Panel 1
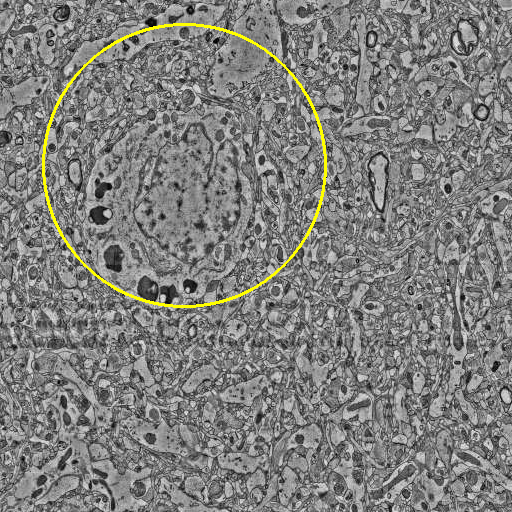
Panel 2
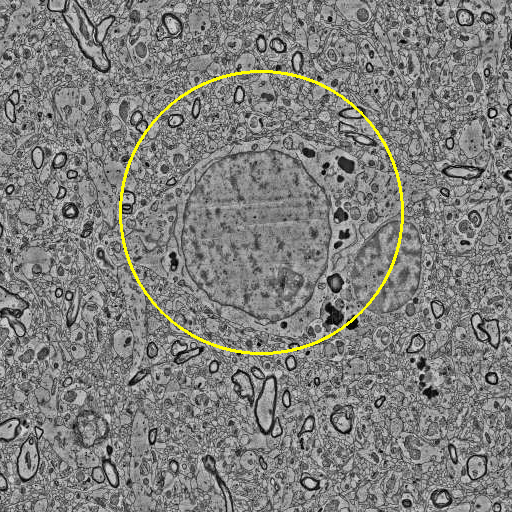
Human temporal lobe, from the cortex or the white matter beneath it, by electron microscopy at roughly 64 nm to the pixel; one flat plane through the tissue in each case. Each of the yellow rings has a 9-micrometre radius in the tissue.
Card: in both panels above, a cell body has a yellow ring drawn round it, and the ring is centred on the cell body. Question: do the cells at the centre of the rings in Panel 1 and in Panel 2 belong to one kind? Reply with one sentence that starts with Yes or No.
Yes, the cells centred in the rings of Panel 1 and Panel 2 are one kind of cell.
